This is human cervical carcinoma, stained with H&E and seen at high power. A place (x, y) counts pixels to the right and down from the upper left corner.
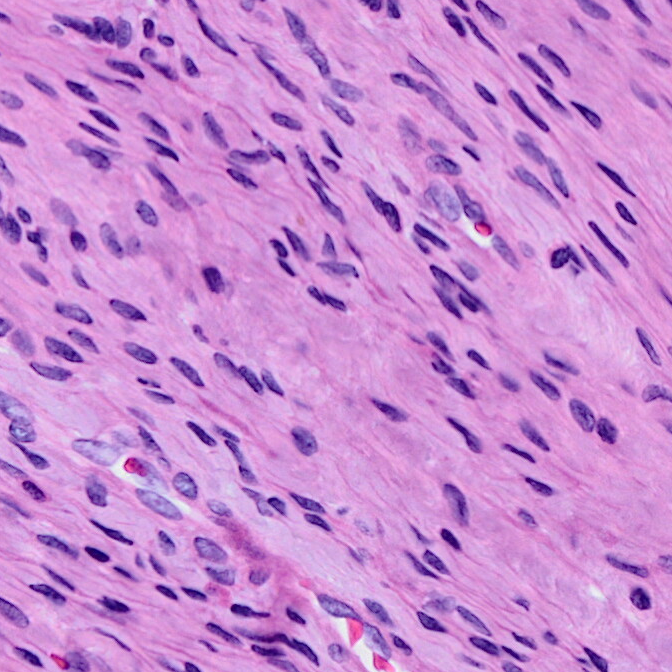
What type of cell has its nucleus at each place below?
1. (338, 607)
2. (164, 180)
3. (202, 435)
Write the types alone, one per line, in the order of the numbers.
endothelial cell
fibroblast
fibroblast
